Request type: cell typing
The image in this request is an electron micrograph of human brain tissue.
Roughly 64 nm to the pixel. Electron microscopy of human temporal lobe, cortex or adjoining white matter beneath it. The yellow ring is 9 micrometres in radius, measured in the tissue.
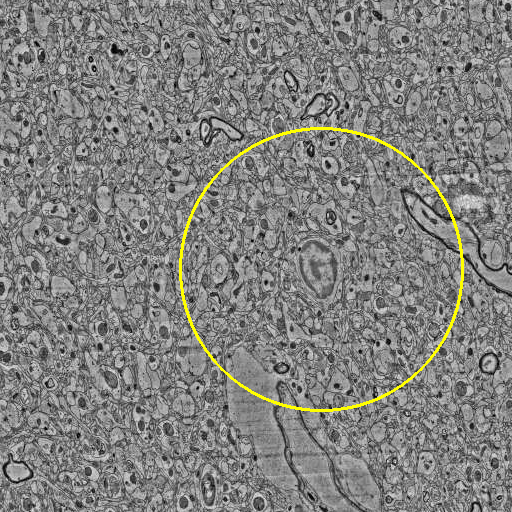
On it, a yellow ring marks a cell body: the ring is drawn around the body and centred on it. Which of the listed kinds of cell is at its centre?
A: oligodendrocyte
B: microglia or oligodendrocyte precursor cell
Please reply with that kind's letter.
B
